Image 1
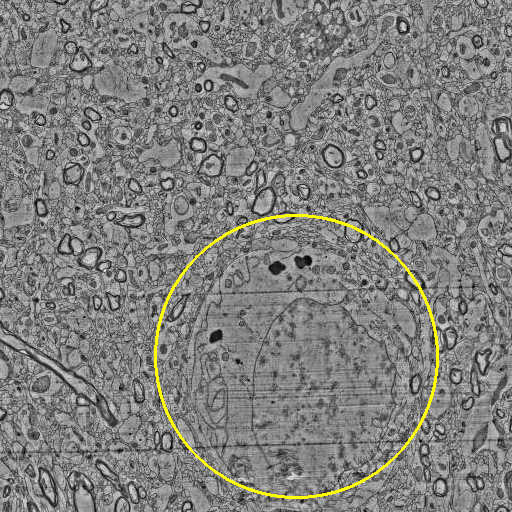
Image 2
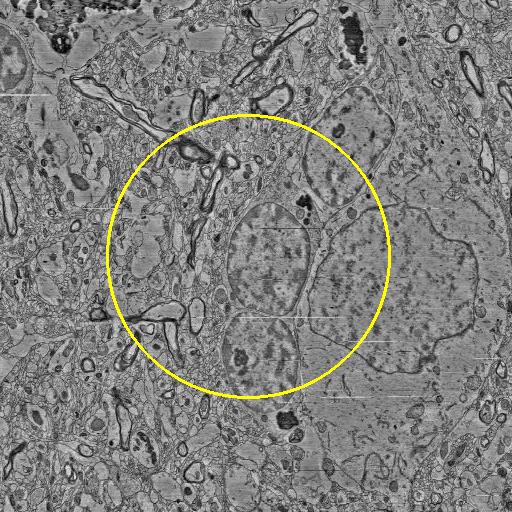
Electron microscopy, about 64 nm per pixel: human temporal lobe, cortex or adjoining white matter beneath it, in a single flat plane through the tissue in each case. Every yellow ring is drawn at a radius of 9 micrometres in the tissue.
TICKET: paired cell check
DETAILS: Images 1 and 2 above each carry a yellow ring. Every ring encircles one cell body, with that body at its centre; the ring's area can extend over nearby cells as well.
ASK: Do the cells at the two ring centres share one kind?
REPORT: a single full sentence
No, the ring-centre cells of Images 1 and 2 belong to two kinds.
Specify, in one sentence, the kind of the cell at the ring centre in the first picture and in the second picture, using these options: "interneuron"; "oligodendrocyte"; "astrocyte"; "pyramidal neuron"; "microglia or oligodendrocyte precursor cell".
So the first is a pyramidal neuron, the second an oligodendrocyte.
